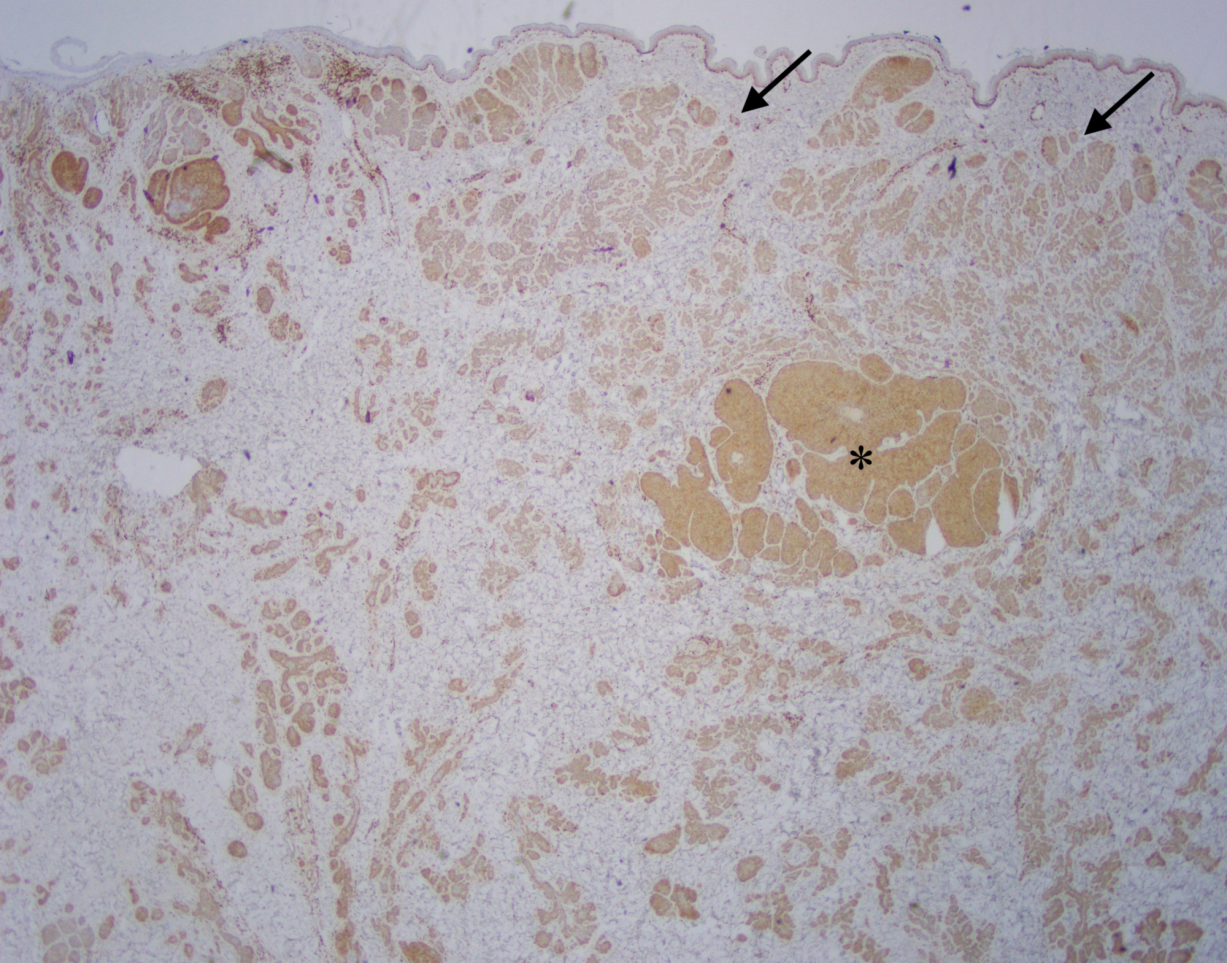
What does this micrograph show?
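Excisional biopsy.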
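This low-power view of skin shows a thin epidermis along the top edge over a dermis filled with numerous epithelial tumor nests, cords and strands that stain brown. They lie in an abundant pale, loose fibrous stroma. Many small, branching nests and anastomosing cords are scattered throughout, and several lie just beneath the epidermis. Slightly right of centre is a larger, confluent, lobulated nest that stains evenly brown throughout, with small clefts and spaces within and around it.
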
